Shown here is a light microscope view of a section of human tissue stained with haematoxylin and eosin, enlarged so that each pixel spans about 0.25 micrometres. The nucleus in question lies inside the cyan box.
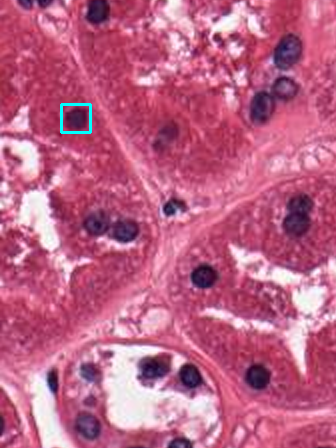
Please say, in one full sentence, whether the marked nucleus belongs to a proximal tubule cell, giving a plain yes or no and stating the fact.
Yes, the marked nucleus belongs to a proximal tubule cell in this field.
